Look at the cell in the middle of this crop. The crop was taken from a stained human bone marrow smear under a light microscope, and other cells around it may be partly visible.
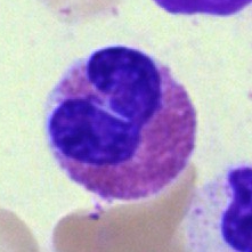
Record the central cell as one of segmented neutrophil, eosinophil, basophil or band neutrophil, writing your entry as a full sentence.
The cell sitting right in the middle is an eosinophil.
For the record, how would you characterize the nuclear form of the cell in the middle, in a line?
What stands out is the nucleus, split into two or more lobes.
